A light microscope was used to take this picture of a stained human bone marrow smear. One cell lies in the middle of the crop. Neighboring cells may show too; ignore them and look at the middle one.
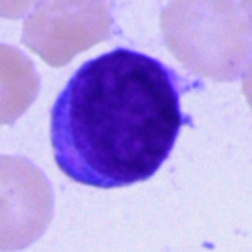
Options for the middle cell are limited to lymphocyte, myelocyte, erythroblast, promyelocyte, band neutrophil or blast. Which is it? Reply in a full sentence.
In the crop, the cell of interest at the centre is a blast.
